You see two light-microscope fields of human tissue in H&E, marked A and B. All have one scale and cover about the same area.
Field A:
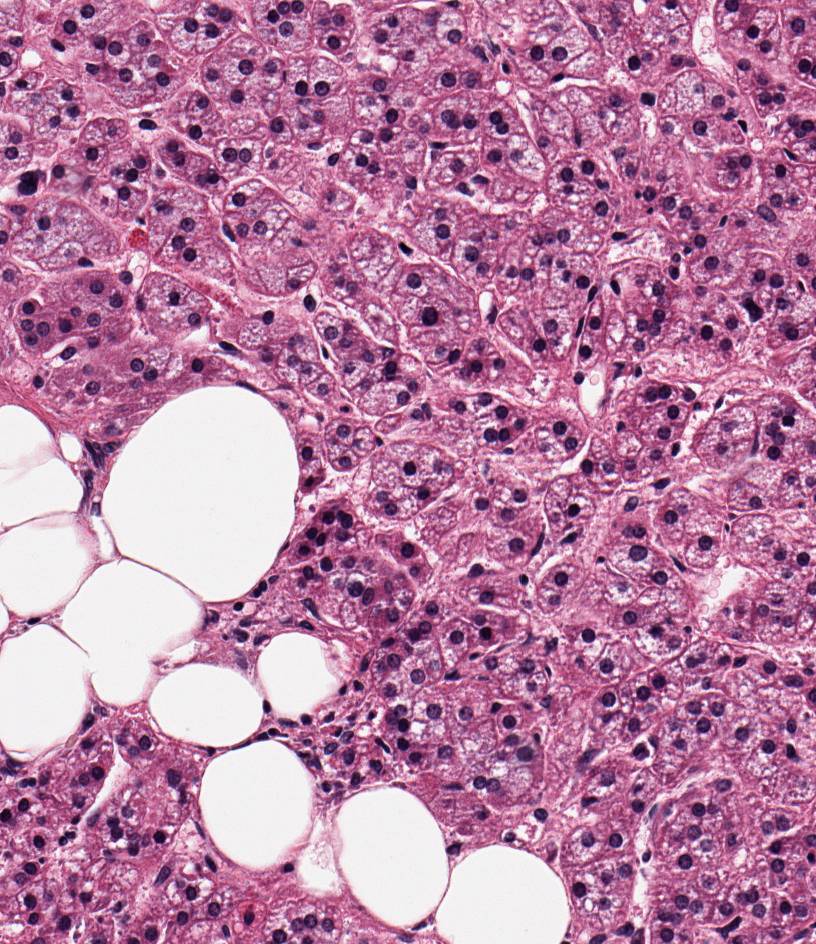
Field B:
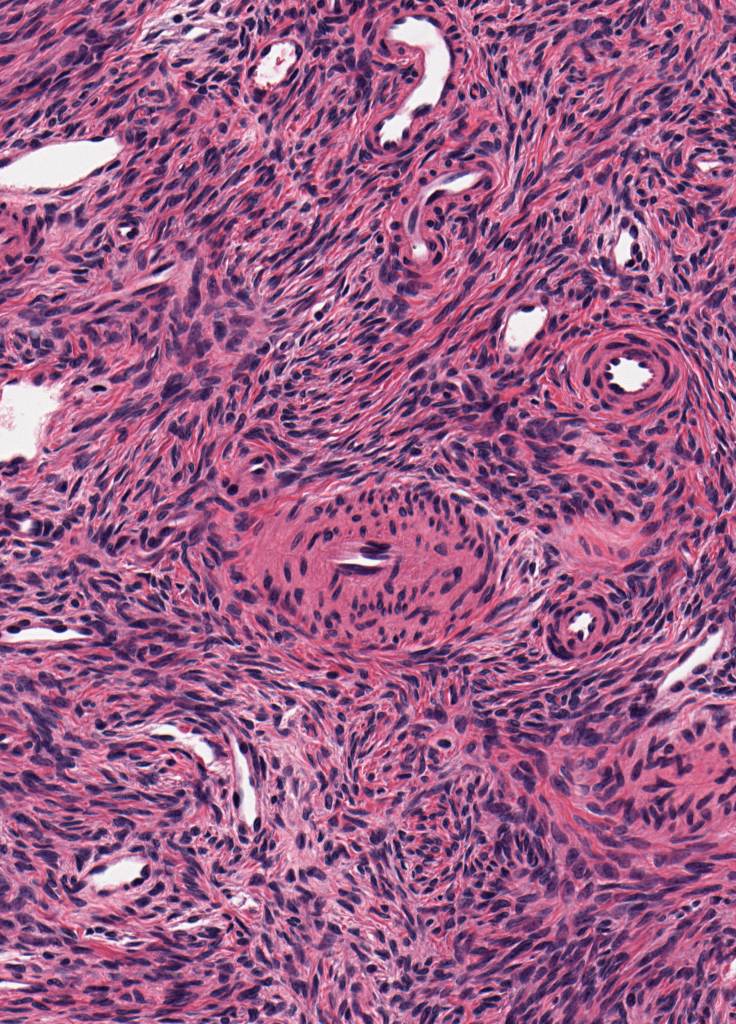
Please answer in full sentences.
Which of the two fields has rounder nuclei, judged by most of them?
On the whole the nuclei of field A are rounder than those of field B.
